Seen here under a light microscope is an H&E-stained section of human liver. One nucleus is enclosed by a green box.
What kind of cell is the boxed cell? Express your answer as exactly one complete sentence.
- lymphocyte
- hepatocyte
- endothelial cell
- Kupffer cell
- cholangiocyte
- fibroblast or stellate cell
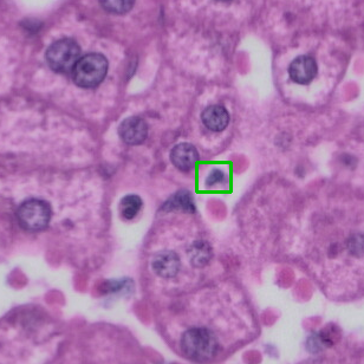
To be brief about it, the boxed cell is a lymphocyte.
